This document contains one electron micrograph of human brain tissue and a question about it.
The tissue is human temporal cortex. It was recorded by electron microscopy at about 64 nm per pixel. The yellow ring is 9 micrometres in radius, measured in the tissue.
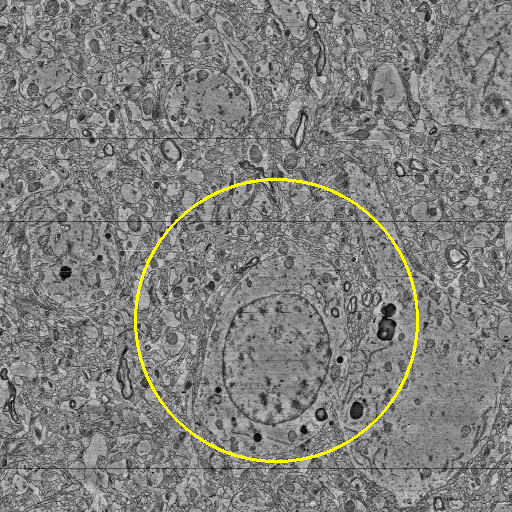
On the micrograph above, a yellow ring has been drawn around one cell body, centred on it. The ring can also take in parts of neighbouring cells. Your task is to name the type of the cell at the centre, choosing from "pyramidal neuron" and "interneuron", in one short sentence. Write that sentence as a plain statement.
Here the ring is centred on a pyramidal neuron.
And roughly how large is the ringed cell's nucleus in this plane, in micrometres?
The ringed cell's nucleus measures approximately 9 by 7 micrometres in this plane.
